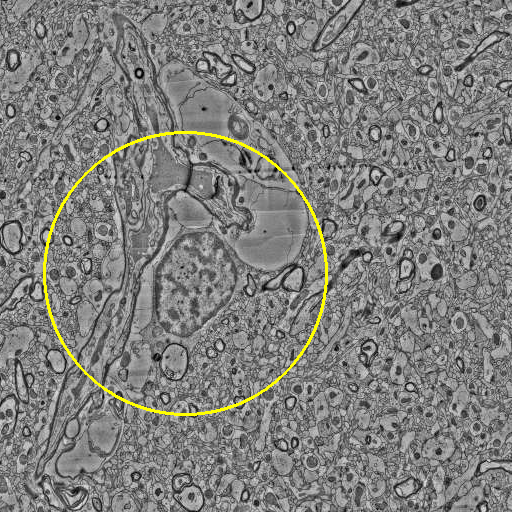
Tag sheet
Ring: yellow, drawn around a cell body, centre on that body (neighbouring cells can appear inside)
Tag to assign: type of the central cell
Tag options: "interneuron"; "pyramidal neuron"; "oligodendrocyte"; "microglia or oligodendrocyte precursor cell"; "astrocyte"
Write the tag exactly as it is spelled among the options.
oligodendrocyte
